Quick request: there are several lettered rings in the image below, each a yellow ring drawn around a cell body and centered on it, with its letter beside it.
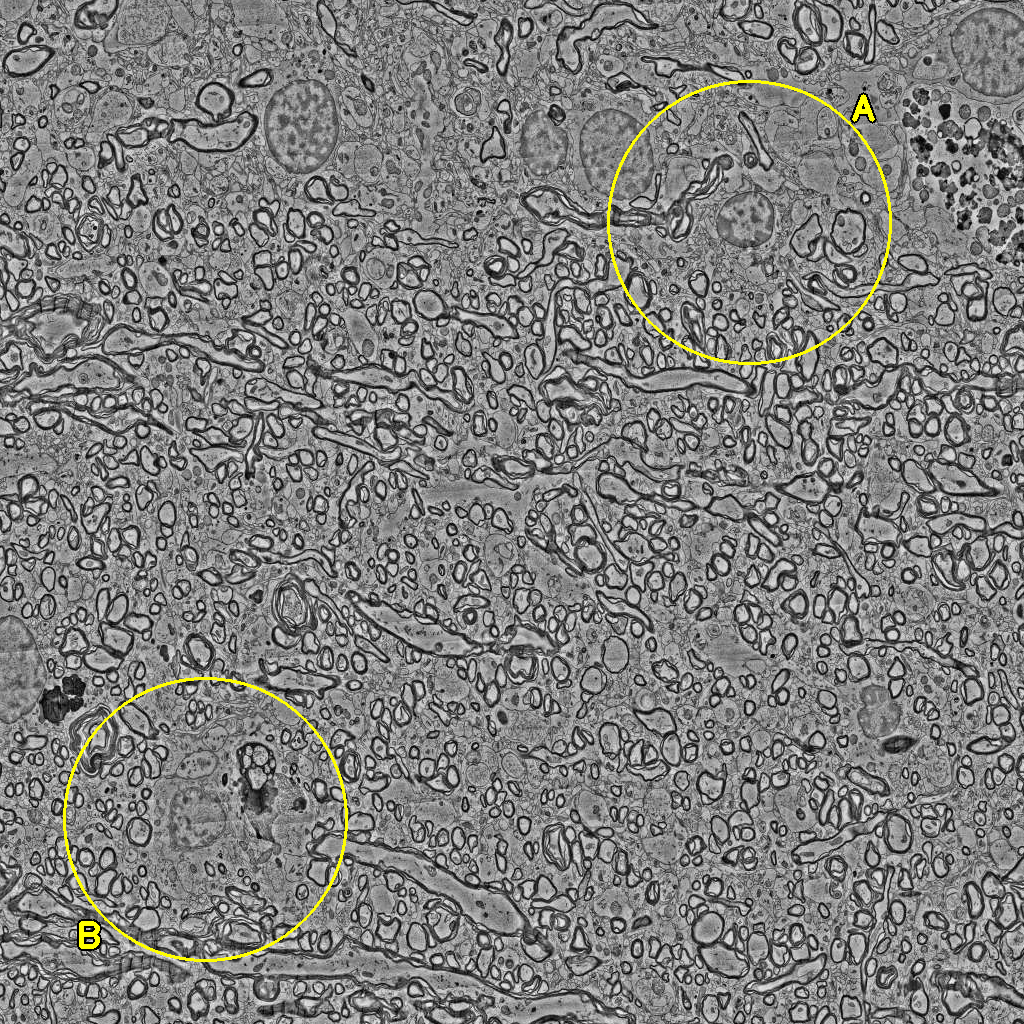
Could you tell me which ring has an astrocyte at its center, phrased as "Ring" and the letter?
Ring B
